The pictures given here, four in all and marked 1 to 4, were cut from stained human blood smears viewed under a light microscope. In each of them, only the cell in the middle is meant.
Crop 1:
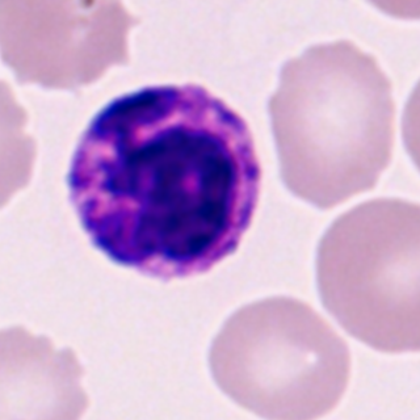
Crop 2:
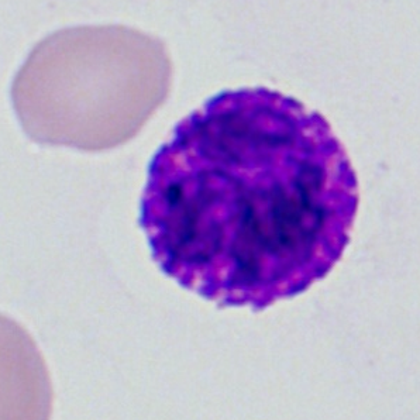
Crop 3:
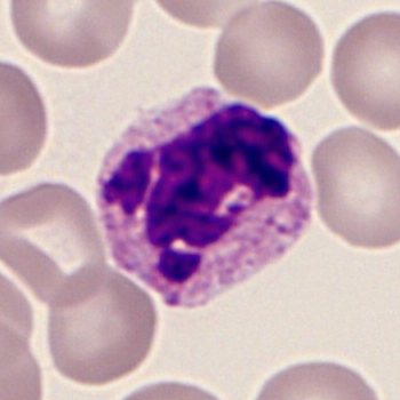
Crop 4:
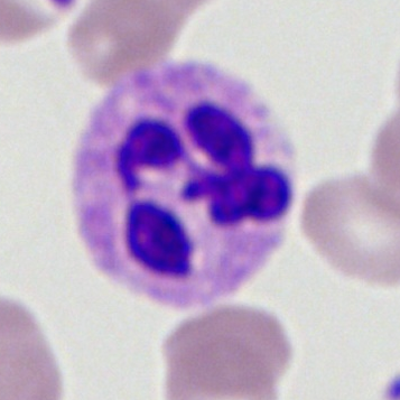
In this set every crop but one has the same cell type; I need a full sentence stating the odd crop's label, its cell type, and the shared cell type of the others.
Only crop 4 differs, being a neutrophil, while the others all show basophils.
